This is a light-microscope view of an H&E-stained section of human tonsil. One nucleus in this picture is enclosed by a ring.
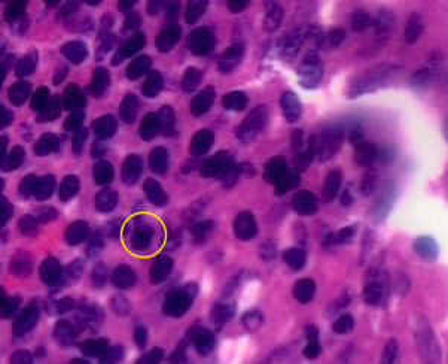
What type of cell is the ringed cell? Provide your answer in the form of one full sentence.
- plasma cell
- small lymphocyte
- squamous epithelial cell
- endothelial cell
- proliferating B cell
In this section of tissue, the ringed cell is a plasma cell.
